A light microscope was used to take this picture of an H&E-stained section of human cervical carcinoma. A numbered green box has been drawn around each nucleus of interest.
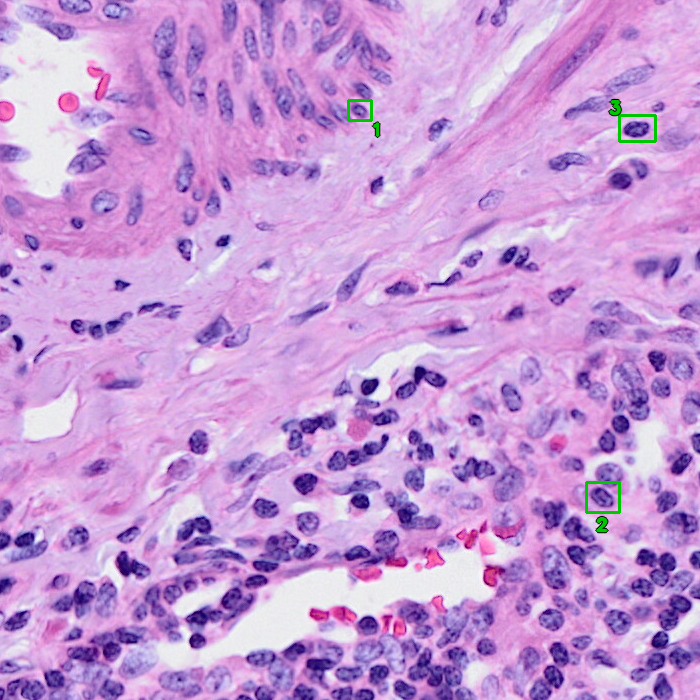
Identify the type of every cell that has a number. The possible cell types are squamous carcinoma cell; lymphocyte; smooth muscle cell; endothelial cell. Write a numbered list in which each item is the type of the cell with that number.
1. smooth muscle cell
2. lymphocyte
3. lymphocyte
